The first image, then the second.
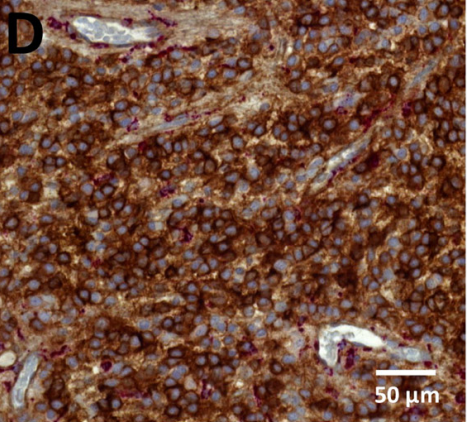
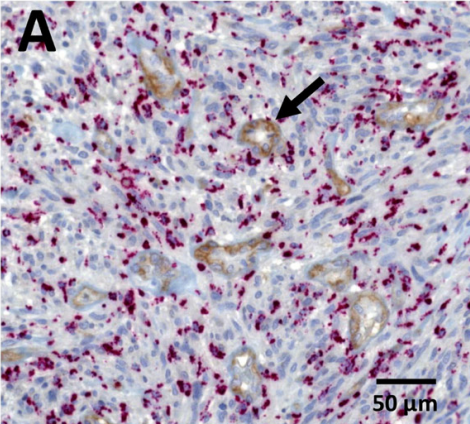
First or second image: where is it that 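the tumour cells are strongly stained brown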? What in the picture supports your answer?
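The first image. First image: nearly all tumour cells carry dark brown staining around and within them. Second image: tumour cells are blue with no brown; only vessel walls are brown.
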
